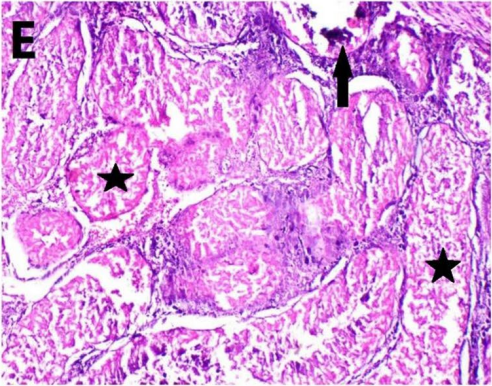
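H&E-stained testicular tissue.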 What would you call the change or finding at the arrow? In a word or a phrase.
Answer: Basophilic calcium salt deposition.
